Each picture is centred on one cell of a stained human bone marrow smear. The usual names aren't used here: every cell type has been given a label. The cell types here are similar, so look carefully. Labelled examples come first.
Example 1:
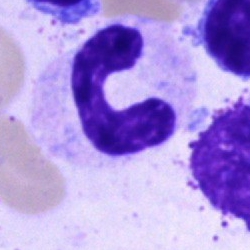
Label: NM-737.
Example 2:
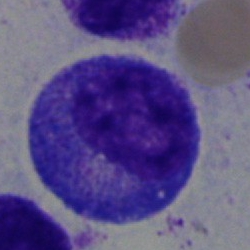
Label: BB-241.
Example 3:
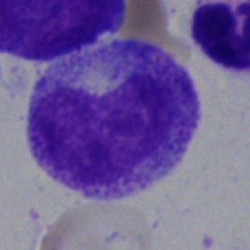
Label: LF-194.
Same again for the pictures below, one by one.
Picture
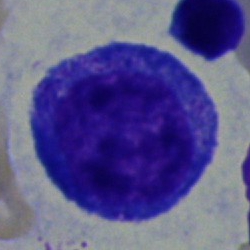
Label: BB-241.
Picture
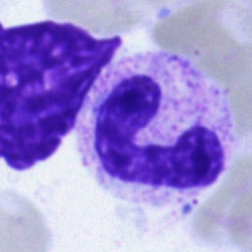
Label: NM-737.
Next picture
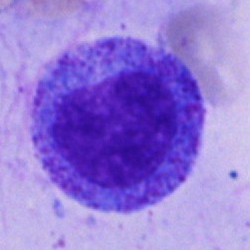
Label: BB-241.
